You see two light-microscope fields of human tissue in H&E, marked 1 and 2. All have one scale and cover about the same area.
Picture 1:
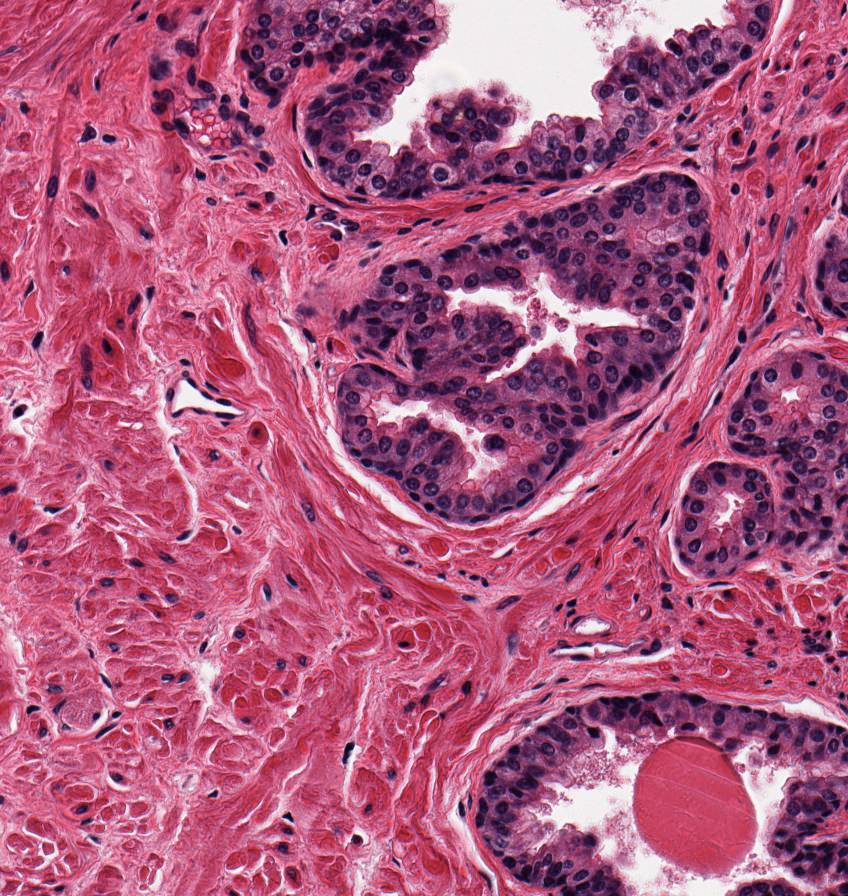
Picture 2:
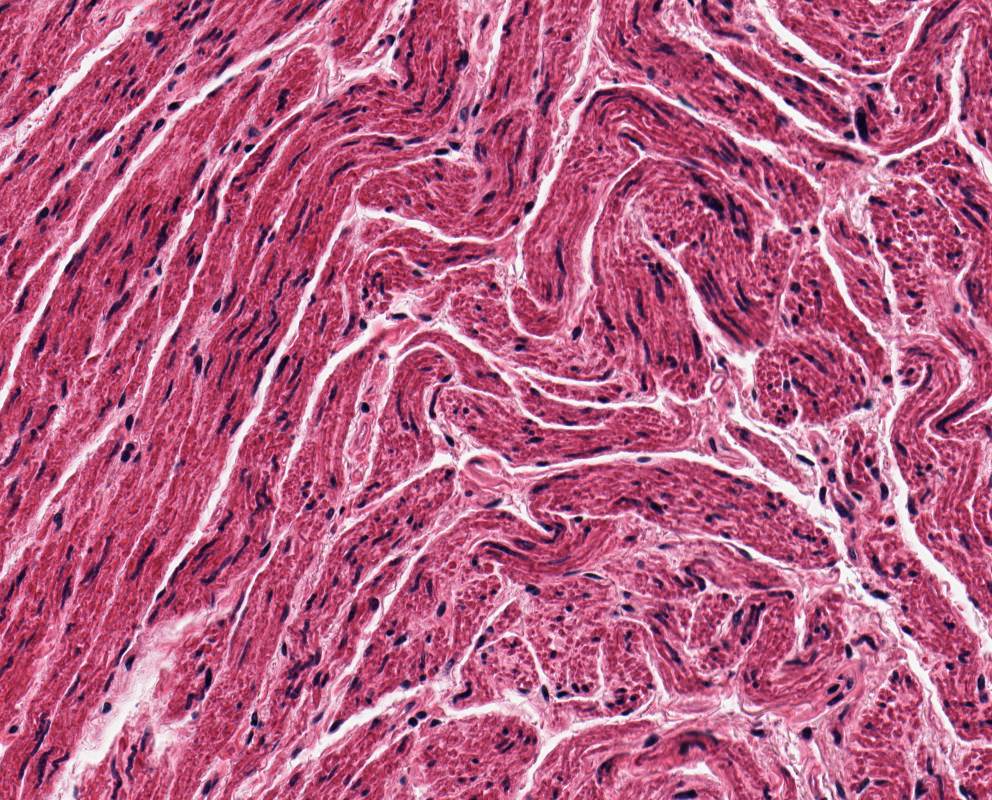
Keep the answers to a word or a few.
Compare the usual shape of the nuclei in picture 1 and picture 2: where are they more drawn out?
2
